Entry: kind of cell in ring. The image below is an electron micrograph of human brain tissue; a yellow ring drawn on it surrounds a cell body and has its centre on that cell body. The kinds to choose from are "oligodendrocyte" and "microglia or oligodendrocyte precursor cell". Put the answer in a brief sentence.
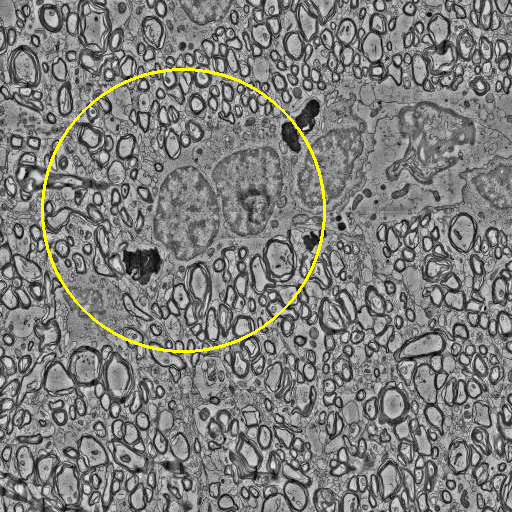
The ring has been drawn around an oligodendrocyte.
